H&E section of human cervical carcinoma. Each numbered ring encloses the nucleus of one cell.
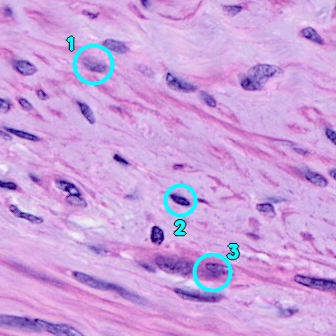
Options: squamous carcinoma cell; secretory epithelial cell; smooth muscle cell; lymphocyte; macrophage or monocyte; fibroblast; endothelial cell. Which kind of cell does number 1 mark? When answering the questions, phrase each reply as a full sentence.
The cell identified by number 1 is a smooth muscle cell.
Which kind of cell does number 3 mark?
In the tissue shown, cell 3 is an endothelial cell.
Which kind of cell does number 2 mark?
Looking at the numbered marks, cell 2 is a fibroblast.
